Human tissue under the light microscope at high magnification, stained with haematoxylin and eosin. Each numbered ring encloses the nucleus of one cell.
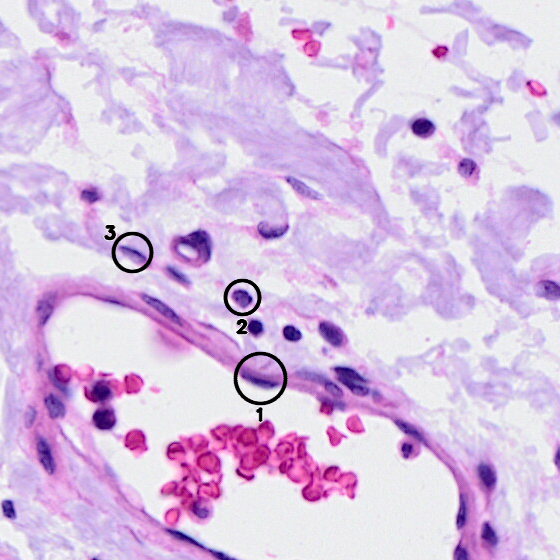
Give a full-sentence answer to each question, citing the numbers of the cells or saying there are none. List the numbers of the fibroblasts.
The nucleus labelled 3 alone belongs to a fibroblast; the other marked nuclei do not.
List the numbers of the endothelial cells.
Among all the marked cells, an endothelial cell is found only at number 1.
